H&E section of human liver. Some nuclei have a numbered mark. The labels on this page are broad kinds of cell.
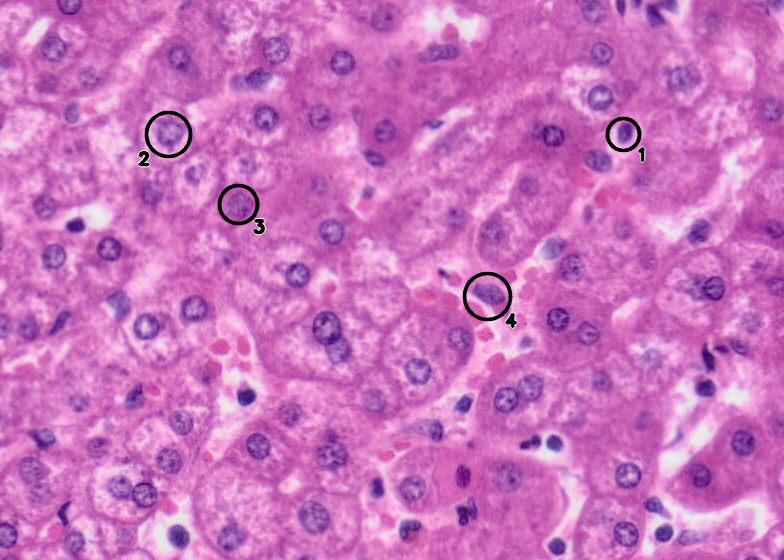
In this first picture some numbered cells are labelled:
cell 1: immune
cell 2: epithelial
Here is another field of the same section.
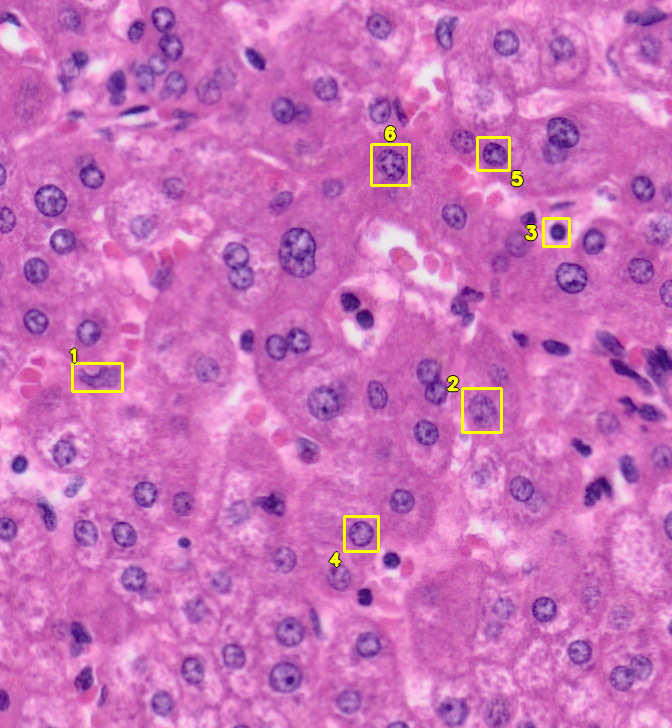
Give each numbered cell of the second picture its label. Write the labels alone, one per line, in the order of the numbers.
immune
epithelial
immune
epithelial
epithelial
epithelial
